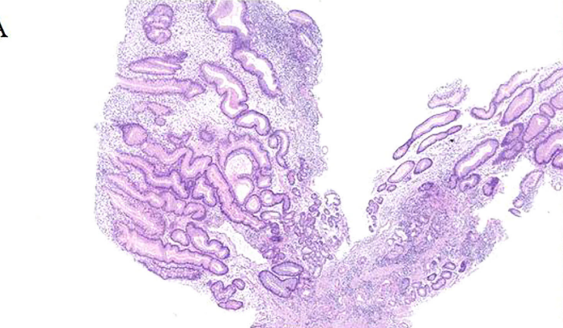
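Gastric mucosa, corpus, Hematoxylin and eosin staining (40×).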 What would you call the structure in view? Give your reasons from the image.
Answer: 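Elongated, branching and dilated foveolar glands crowd the mucosa. The tissue forms a raised fragment with abundant stroma between the glands. On this evidence: hyperplastic polyp.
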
